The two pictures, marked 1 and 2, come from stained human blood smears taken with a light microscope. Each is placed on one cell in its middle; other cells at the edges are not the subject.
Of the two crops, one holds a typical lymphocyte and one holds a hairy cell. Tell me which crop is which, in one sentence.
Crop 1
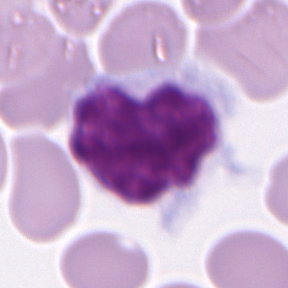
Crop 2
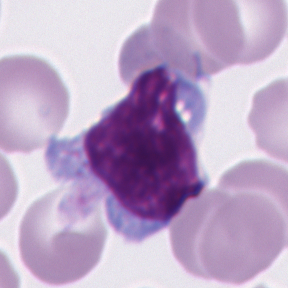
Crop 1 holds a hairy cell; a typical lymphocyte occupies crop 2.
